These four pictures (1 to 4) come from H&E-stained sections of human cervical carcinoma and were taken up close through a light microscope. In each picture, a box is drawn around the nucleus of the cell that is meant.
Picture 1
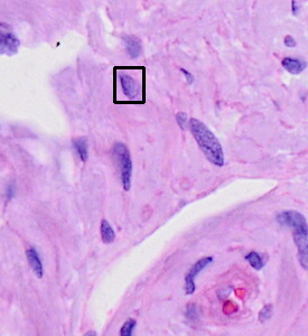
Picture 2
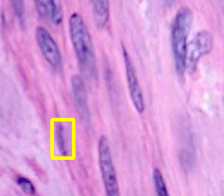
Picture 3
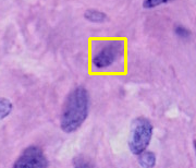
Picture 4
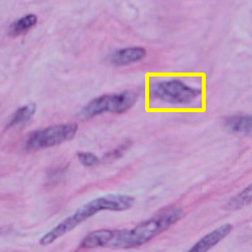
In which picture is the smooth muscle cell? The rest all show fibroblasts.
2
